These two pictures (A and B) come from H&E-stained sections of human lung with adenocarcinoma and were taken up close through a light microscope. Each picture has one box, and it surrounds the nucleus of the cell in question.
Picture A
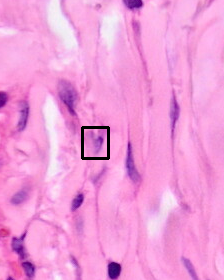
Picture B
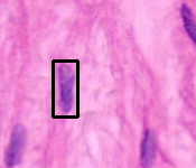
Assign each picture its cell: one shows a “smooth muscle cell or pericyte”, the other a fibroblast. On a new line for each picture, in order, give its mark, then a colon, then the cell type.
A: fibroblast
B: smooth muscle cell or pericyte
